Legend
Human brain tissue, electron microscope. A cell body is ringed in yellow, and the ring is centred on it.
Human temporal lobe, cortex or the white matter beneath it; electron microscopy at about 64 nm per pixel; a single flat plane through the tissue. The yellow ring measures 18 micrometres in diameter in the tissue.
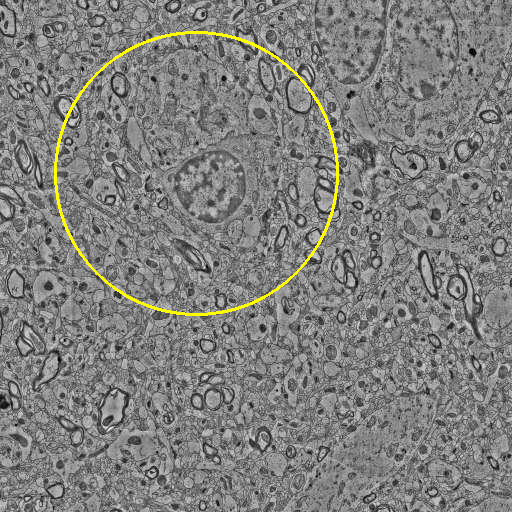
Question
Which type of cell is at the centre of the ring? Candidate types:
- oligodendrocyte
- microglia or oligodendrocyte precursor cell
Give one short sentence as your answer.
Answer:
The yellow ring is centred here on an oligodendrocyte.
